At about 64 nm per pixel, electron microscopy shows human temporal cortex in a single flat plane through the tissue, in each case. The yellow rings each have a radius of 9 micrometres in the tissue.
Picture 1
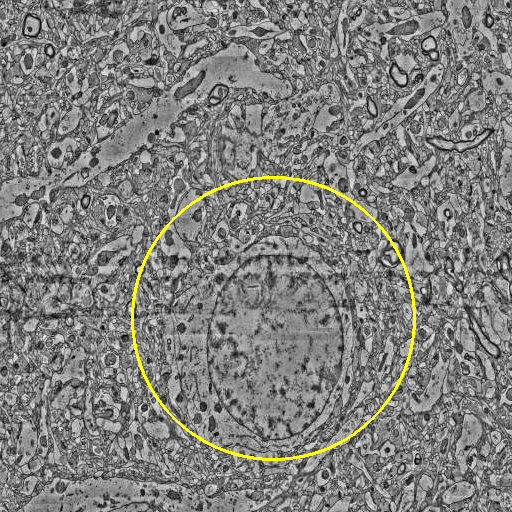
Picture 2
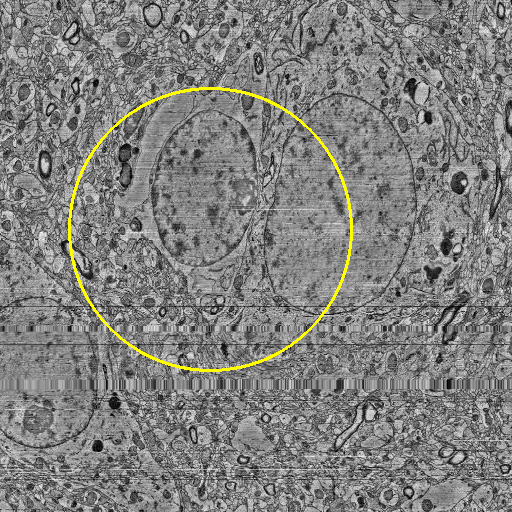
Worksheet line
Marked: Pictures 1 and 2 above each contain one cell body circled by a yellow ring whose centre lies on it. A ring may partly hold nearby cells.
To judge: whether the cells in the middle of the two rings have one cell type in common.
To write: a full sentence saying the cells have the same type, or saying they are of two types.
The cells in the middle of the rings in Picture 1 and Picture 2 are of two types.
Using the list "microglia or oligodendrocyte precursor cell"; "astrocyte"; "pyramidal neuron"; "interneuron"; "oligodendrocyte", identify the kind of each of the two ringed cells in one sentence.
The first is a pyramidal neuron and the second is an astrocyte.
